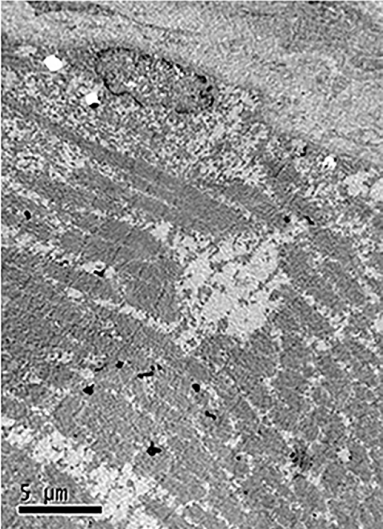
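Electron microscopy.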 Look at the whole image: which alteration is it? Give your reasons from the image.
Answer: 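Focally dissolved myofilaments. Striated myofibrils run across the field. A pale, washed-out patch interrupts the banded myofibrils where the filament pattern is lost.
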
